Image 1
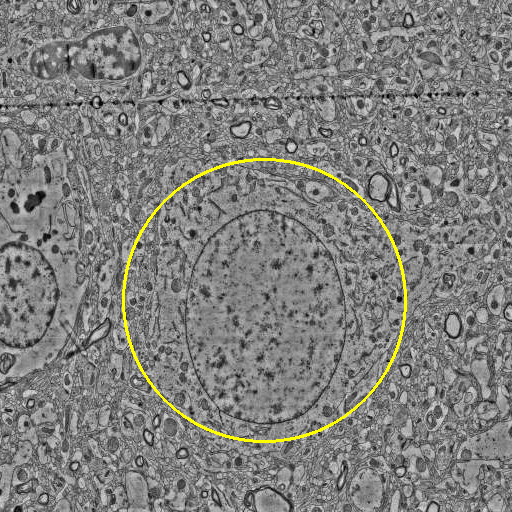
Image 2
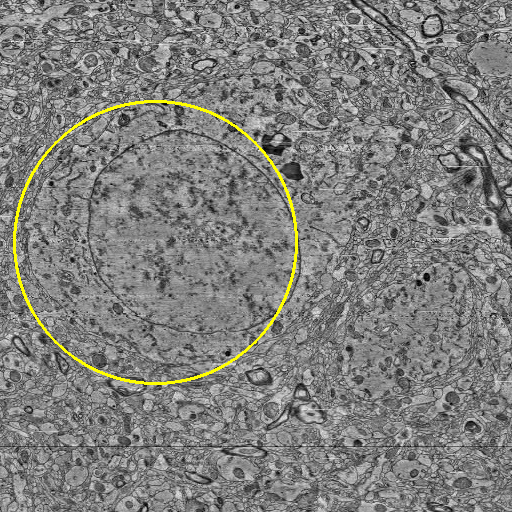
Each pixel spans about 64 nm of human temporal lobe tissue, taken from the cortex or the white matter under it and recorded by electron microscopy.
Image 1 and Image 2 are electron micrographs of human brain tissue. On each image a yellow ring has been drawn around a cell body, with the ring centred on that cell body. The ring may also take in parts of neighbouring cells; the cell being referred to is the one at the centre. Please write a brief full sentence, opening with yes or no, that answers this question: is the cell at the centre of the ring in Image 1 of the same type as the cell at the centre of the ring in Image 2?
Yes, both cells are of the same type.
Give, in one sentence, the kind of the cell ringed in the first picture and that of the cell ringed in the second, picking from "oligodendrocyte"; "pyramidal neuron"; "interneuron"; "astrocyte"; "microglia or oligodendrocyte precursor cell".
The cell in the first picture is a pyramidal neuron, and so is the one in the second.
